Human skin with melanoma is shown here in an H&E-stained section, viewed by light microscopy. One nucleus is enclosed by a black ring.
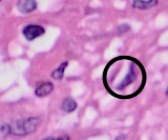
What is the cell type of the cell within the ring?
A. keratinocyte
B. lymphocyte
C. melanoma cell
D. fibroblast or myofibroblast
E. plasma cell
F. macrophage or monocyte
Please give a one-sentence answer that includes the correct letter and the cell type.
Option D correctly identifies the cell within the ring as a fibroblast or myofibroblast.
